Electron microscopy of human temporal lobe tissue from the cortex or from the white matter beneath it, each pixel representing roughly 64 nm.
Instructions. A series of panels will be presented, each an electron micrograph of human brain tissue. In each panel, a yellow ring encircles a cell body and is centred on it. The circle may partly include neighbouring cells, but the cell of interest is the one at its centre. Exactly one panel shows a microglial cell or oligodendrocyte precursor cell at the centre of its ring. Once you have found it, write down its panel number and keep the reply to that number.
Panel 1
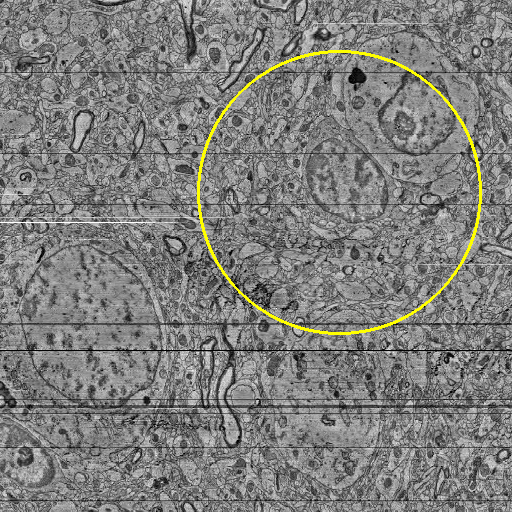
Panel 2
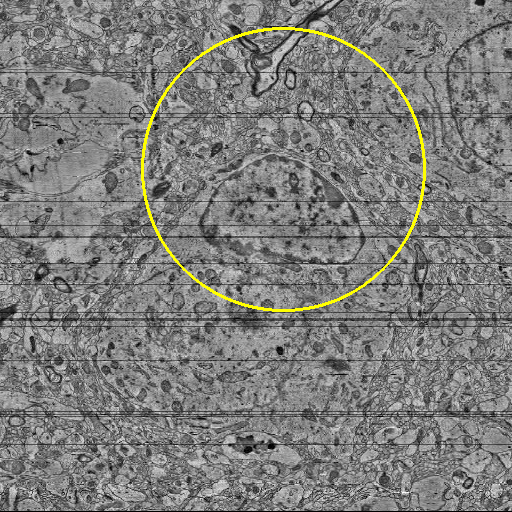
2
